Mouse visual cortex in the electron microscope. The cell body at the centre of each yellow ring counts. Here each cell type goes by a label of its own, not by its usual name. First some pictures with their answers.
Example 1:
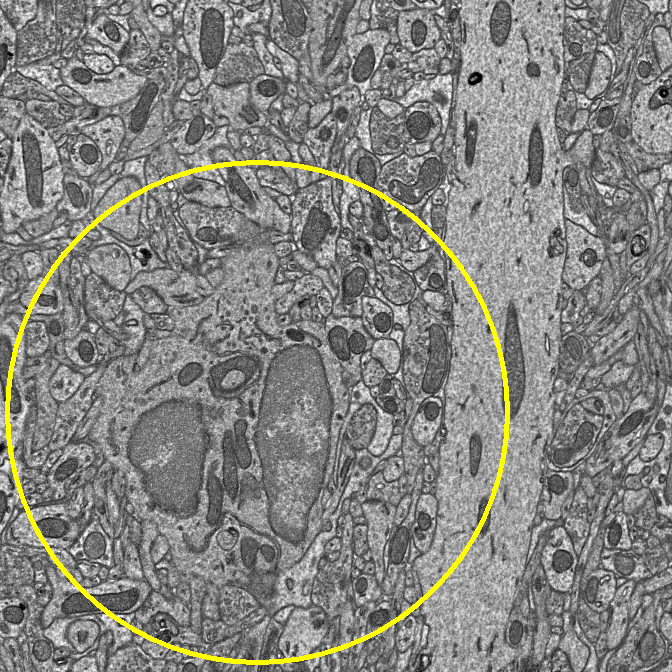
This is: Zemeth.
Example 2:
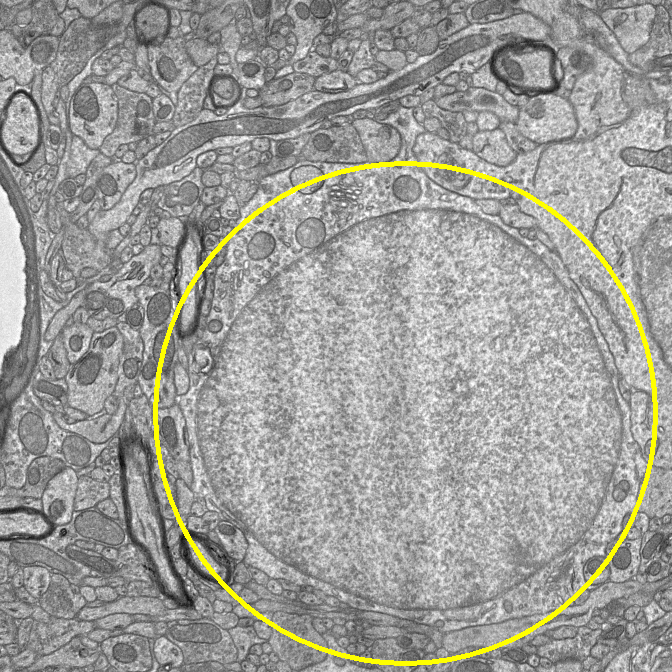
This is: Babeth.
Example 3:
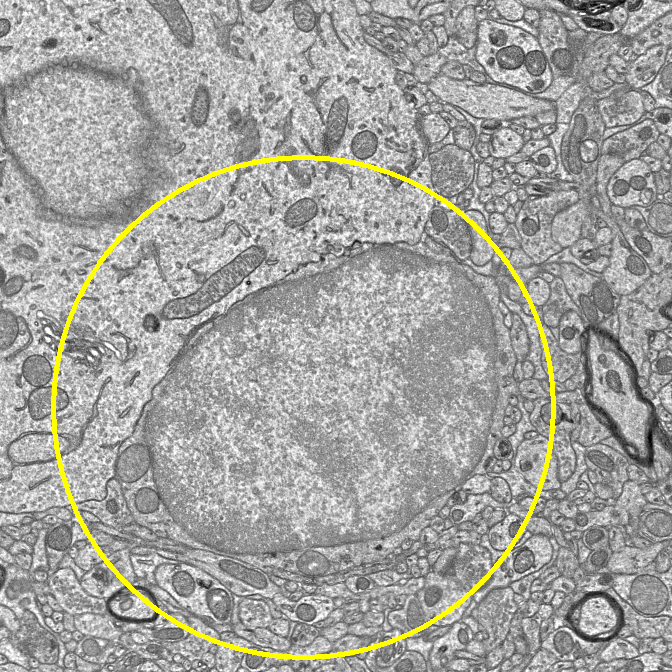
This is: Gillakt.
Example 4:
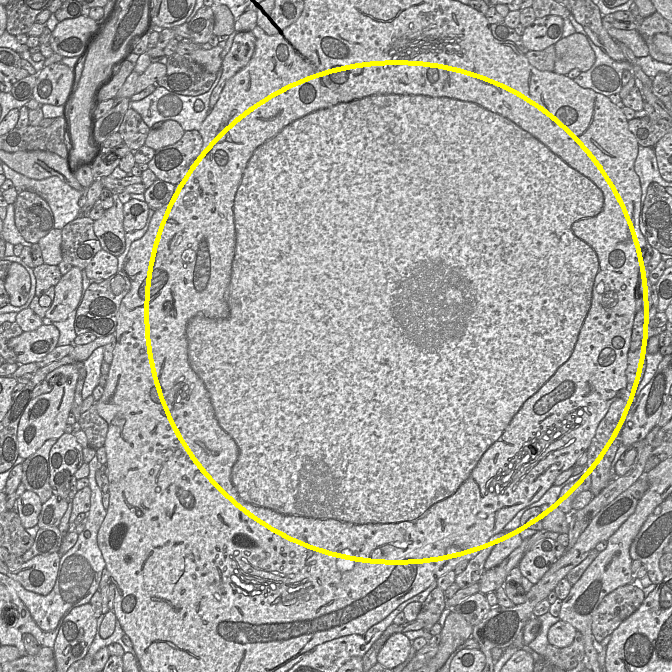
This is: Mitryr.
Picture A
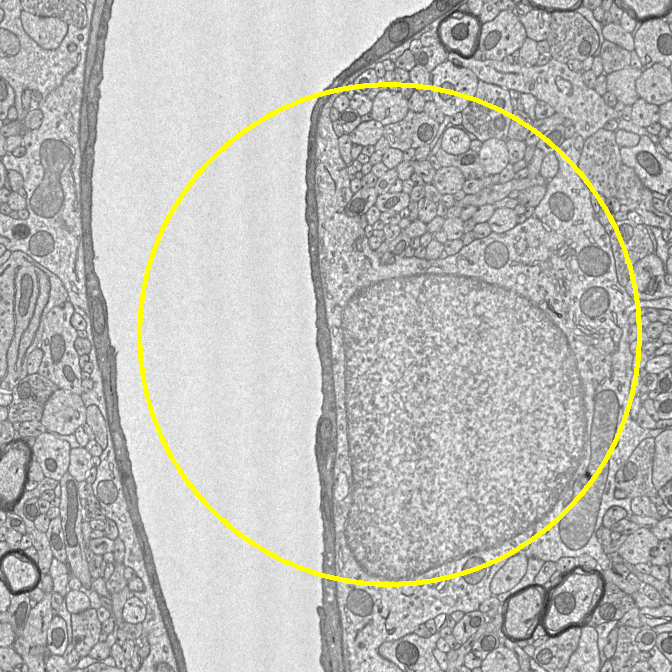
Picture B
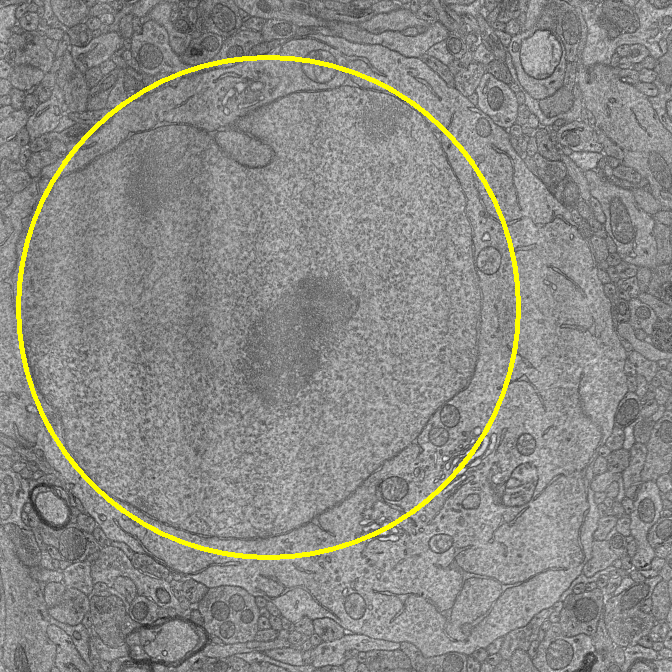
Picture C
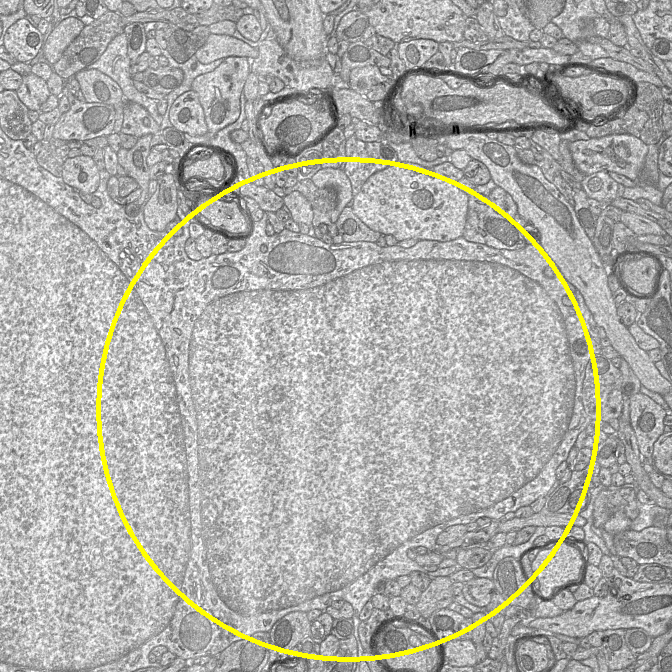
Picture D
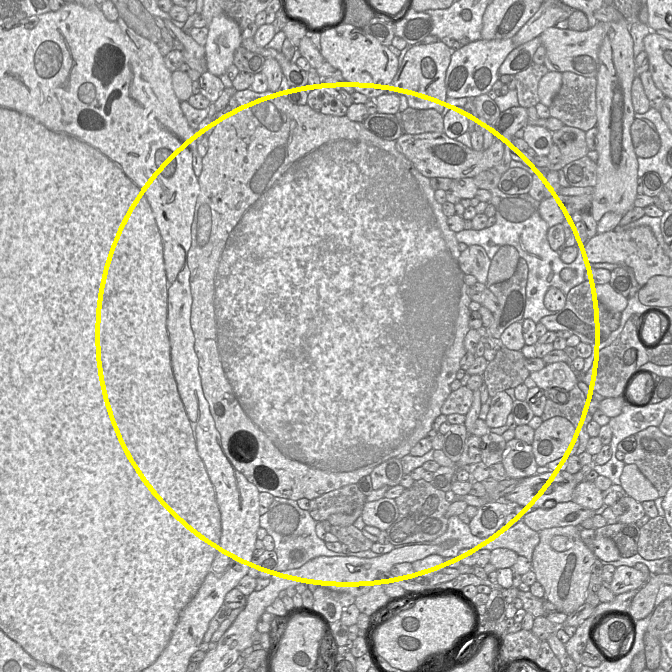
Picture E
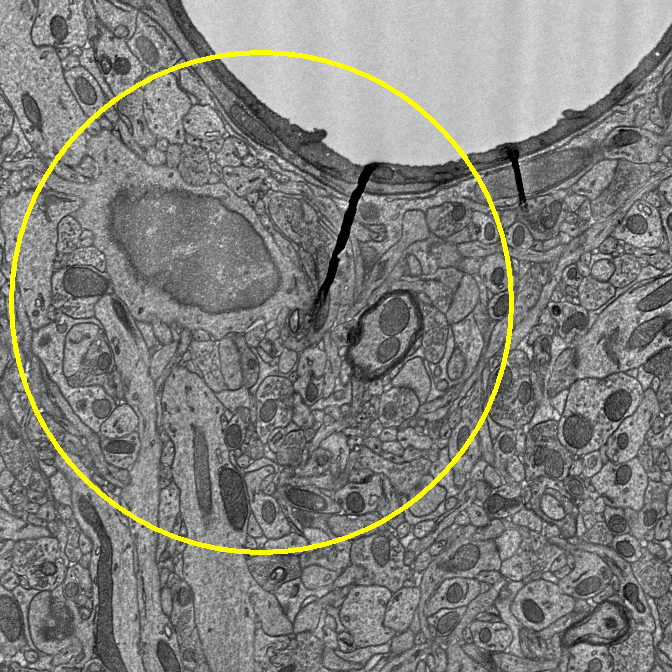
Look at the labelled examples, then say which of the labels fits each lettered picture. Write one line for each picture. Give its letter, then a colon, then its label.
A: Babeth.
B: Mitryr.
C: Babeth.
D: Gillakt.
E: Zemeth.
